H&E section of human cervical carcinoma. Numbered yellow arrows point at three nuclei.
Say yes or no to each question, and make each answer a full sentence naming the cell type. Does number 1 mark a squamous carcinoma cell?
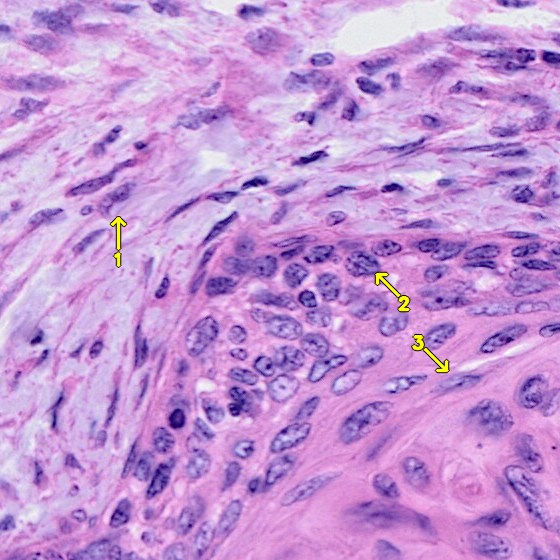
No, the cell given number 1 is a fibroblast, not a squamous carcinoma cell.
